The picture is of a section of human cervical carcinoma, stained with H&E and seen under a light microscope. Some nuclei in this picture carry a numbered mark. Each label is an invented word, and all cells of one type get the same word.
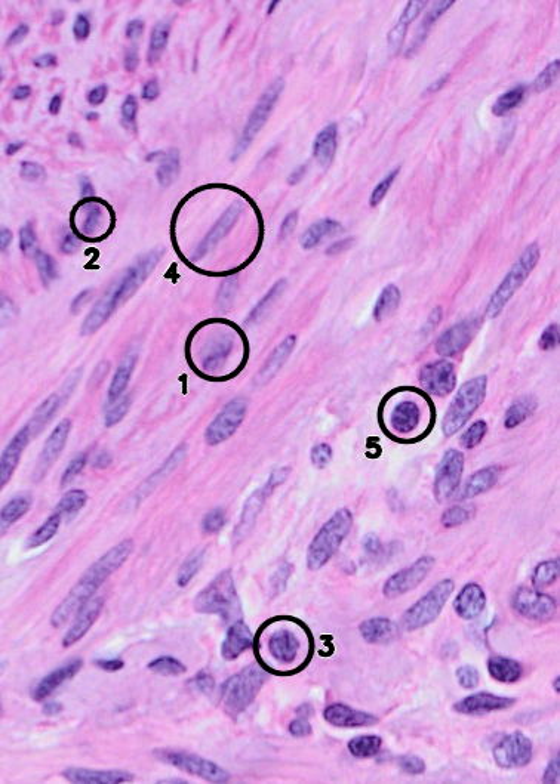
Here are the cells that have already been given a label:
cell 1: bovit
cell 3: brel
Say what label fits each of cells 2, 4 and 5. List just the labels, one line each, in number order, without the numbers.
bovit
bovit
brel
